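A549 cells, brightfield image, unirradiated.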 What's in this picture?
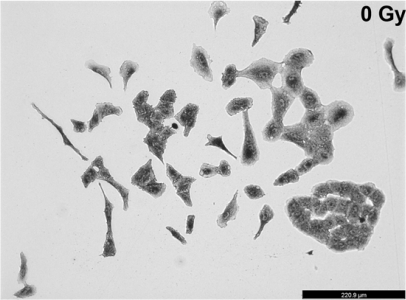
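Most cells are small, and they are spindle-shaped, triangular or polygonal, some drawing out thin tapering processes. They lie singly or in small loose groups, and at the lower right several cells are packed together into a compact patch with cell borders visible as paler lines. Dense central areas mark the position of the nucleus, though nuclear detail is faint.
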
